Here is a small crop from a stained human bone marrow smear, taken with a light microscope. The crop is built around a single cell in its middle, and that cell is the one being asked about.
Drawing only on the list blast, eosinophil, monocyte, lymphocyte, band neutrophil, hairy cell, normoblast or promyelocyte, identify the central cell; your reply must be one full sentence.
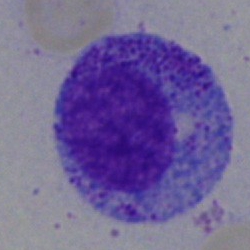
The cell occupying the middle of the crop is a promyelocyte.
